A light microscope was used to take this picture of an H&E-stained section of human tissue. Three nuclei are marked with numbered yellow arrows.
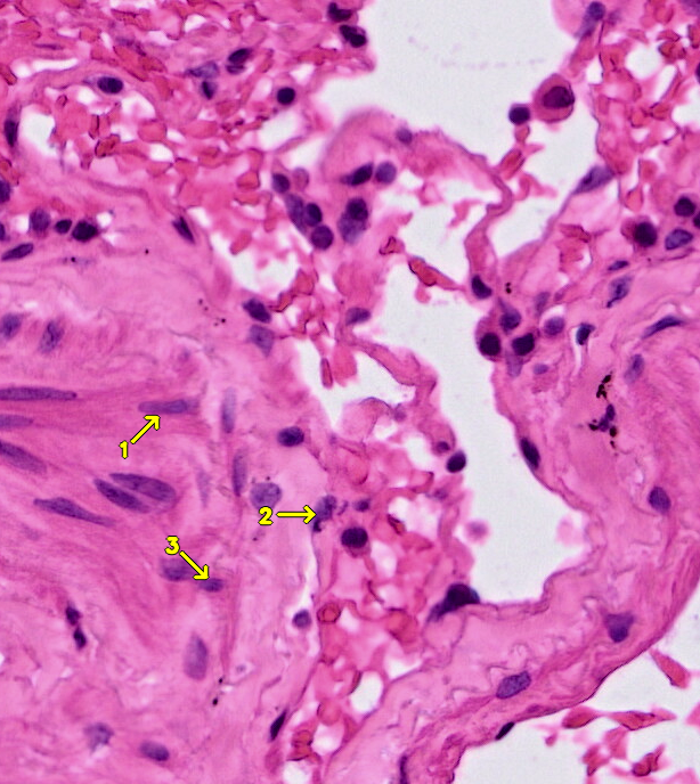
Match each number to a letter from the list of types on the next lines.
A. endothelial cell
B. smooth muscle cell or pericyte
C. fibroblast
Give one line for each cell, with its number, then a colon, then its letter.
1: B
2: C
3: B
